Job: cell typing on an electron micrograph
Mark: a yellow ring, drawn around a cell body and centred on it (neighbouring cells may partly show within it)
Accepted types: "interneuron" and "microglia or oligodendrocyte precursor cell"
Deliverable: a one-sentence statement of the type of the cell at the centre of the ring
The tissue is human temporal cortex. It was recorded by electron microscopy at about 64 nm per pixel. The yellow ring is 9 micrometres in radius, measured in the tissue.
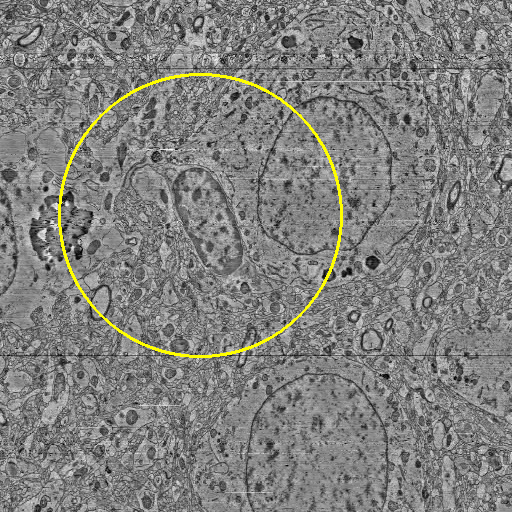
The centred cell body is that of a microglial cell or oligodendrocyte precursor cell.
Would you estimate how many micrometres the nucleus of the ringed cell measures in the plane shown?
The nucleus measures about 7 by 3 micrometres, so it is clearly longer than it is wide in this plane.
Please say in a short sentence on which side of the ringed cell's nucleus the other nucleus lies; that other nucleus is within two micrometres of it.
That nucleus lies to the right of it.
